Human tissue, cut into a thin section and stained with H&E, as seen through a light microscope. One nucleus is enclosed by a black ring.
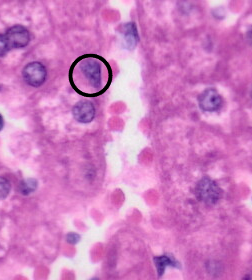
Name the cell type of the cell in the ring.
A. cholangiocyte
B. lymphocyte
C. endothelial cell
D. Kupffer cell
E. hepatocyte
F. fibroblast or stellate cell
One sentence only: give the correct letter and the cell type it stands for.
The statement that the cell in the ring is a fibroblast or stellate cell corresponds to option F, the correct one.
